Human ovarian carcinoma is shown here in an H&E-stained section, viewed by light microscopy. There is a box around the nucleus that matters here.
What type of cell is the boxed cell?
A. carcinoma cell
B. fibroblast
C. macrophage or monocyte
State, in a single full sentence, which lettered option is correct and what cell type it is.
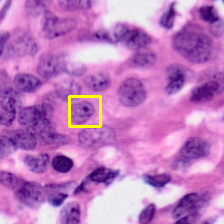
In this section the boxed cell is a macrophage or monocyte; option C is therefore correct.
